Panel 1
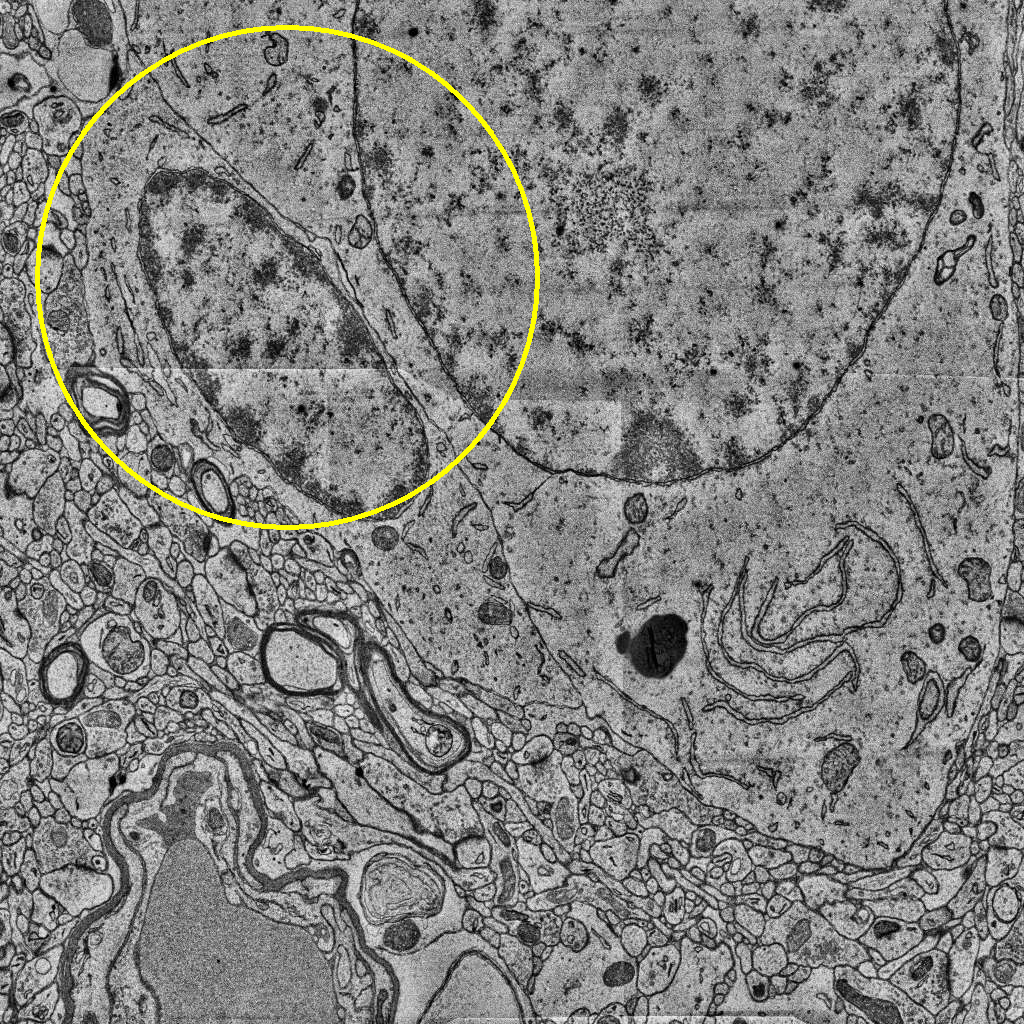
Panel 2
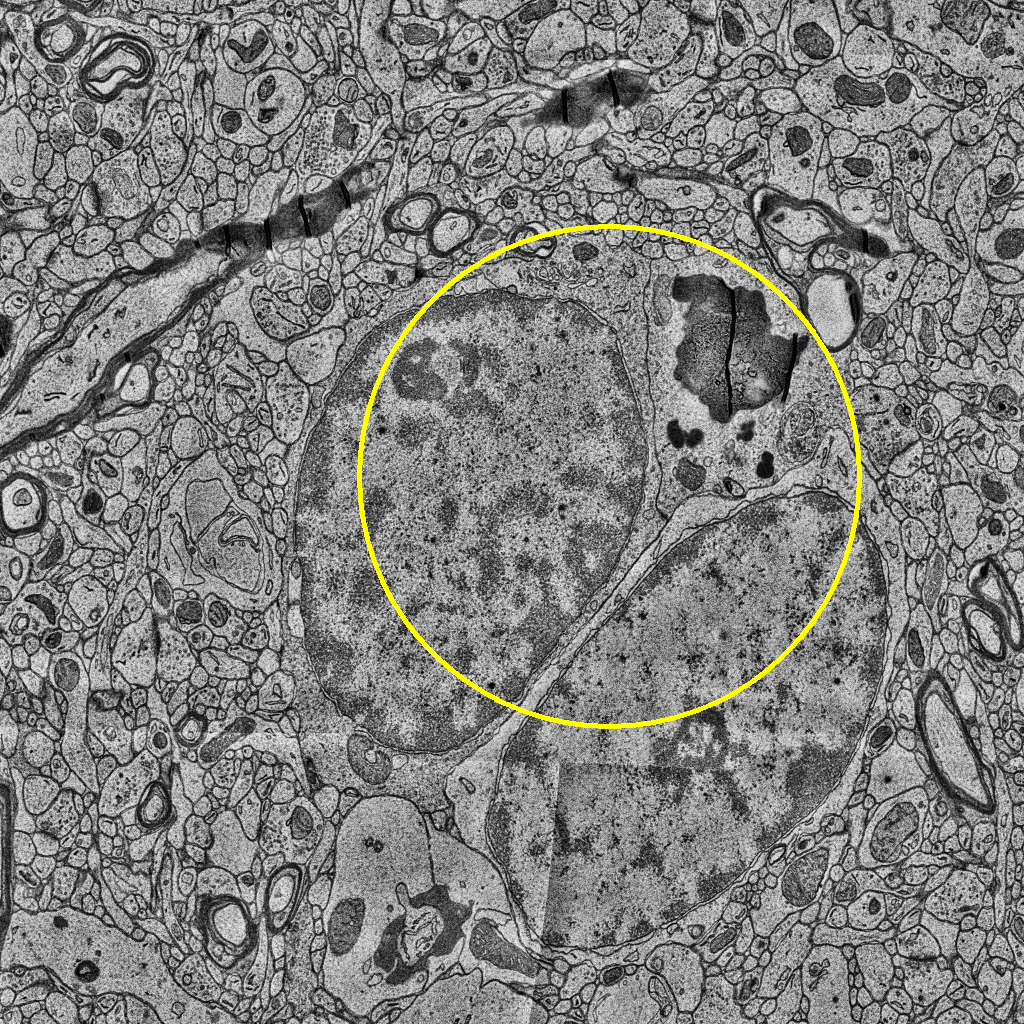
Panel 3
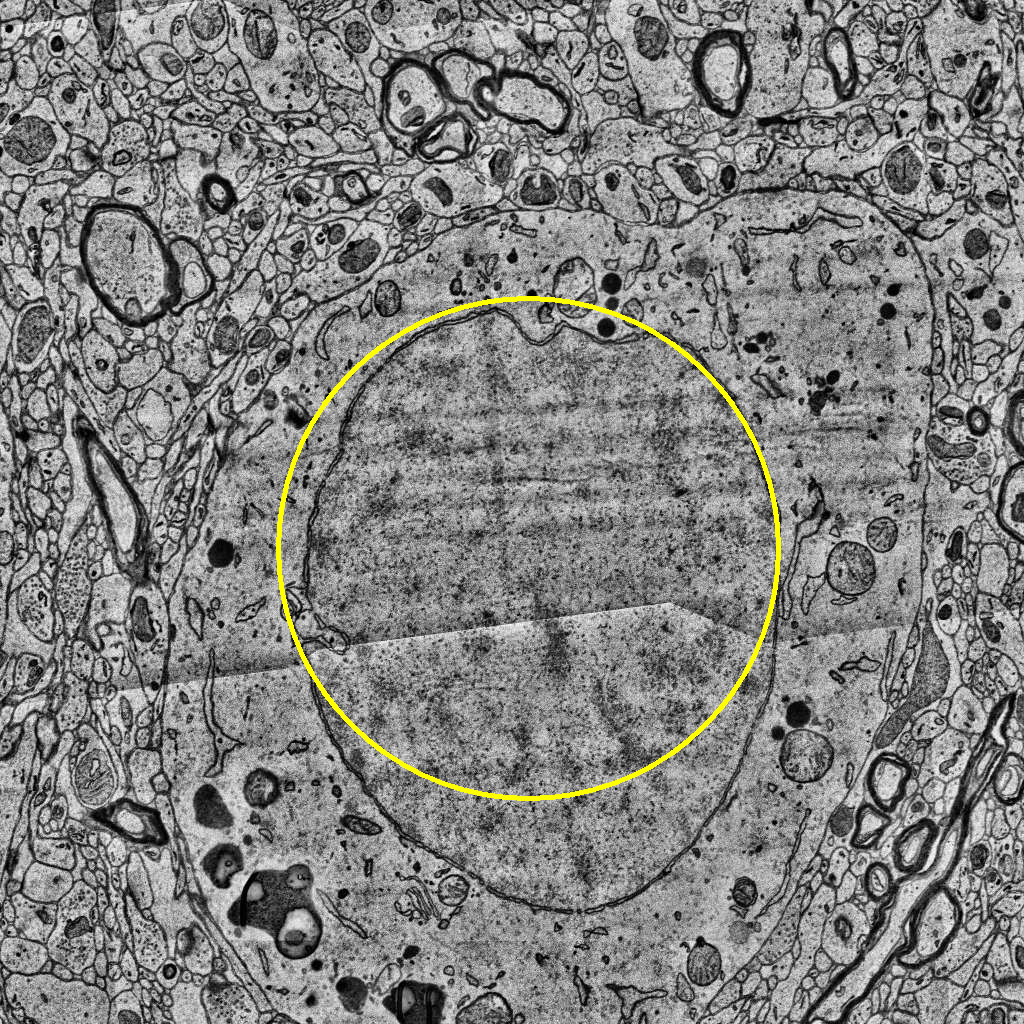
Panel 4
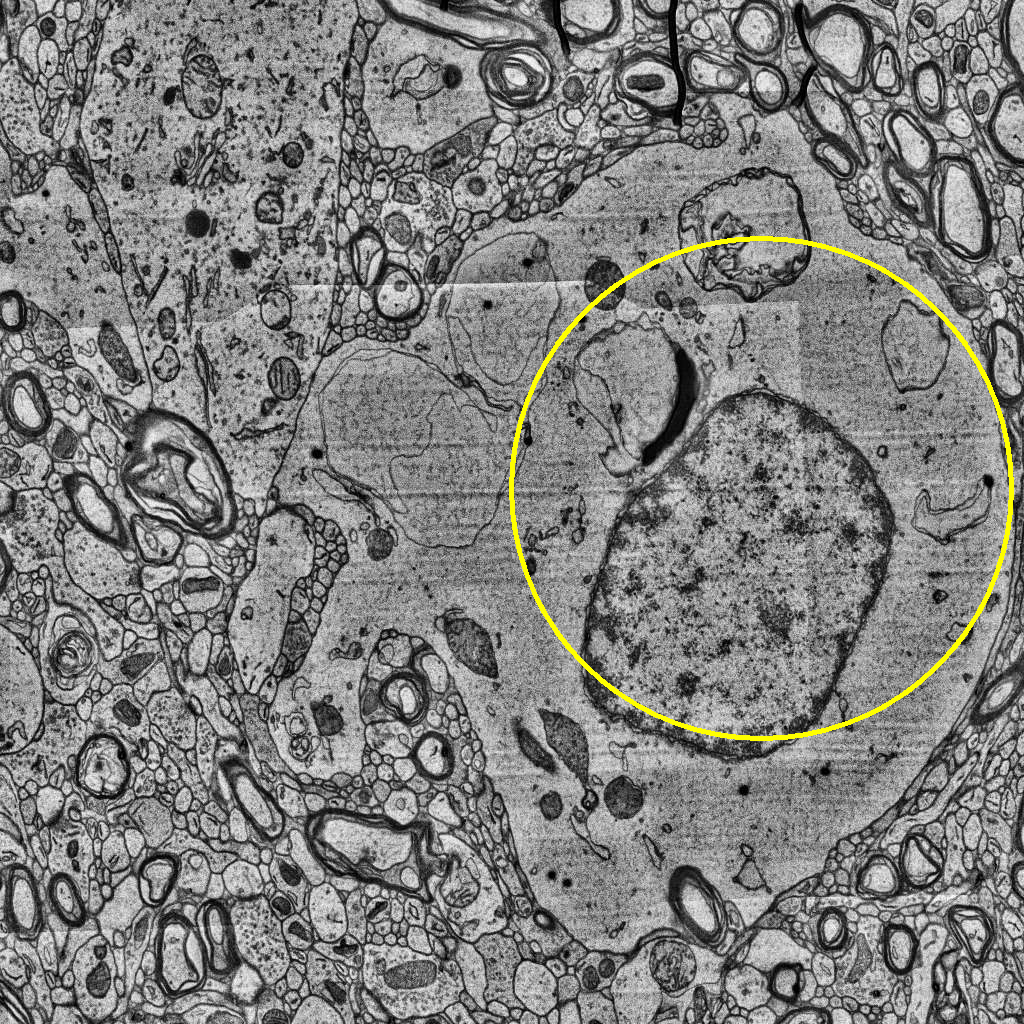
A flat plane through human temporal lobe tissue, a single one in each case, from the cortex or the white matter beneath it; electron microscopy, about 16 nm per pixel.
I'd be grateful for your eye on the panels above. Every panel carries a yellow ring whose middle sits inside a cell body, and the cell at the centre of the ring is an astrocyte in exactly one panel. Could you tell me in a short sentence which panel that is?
Panel 4 is the one with it at the centre of the ring.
